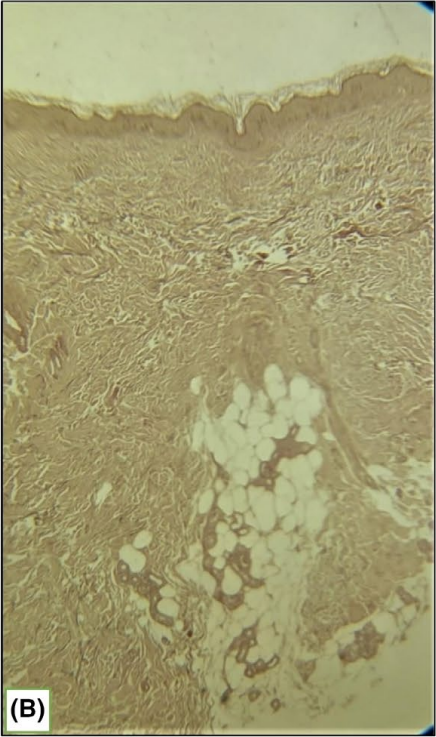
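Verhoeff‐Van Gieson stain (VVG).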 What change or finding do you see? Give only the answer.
Pulled up appearance of subcutis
